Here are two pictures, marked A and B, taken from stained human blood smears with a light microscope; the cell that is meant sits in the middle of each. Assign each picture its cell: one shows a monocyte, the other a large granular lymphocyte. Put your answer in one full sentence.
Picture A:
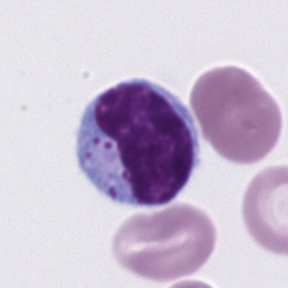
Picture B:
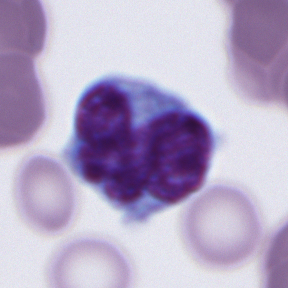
In picture A the cell is a large granular lymphocyte; in picture B, a monocyte.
